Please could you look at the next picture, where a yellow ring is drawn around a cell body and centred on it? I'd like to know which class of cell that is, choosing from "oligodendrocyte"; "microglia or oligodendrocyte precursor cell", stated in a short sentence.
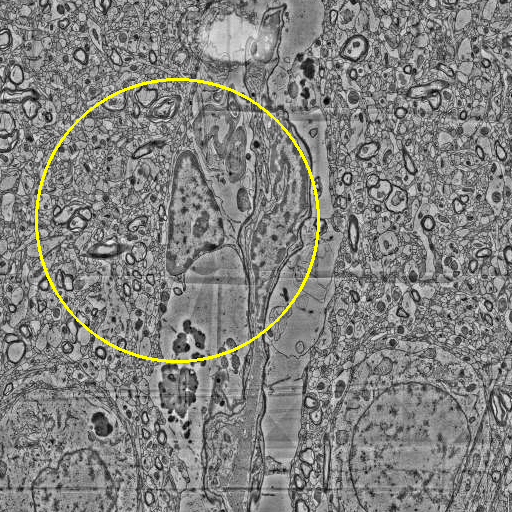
The ring's centre lies on a microglial cell or oligodendrocyte precursor cell.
